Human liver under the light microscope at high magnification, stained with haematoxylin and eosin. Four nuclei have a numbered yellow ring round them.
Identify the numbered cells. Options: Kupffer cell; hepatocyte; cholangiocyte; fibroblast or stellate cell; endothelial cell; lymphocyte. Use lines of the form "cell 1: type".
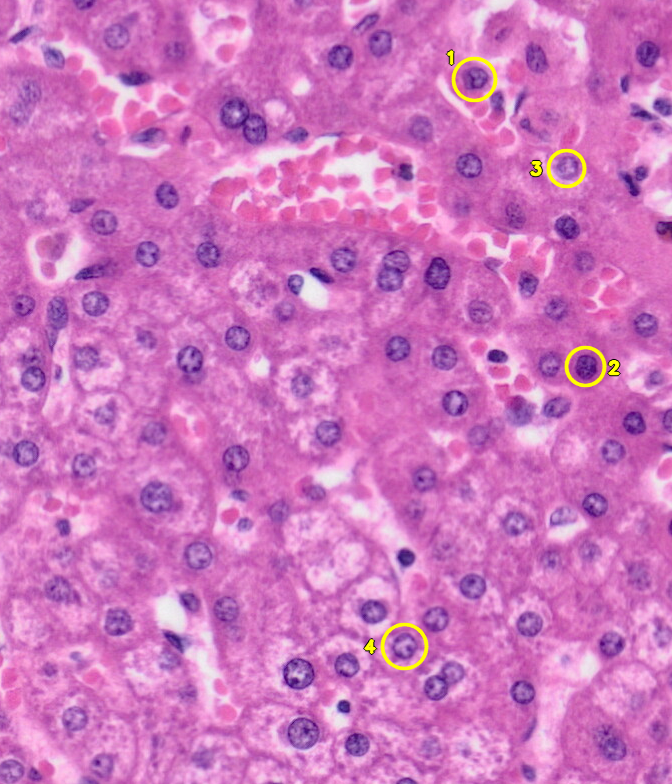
cell 1: Kupffer cell
cell 2: hepatocyte
cell 3: hepatocyte
cell 4: hepatocyte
